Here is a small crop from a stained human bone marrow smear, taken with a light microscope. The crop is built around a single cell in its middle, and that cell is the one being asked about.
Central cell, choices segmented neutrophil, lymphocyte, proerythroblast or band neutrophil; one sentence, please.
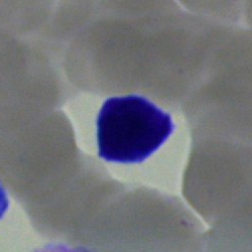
The cell sitting right in the middle is a lymphocyte.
